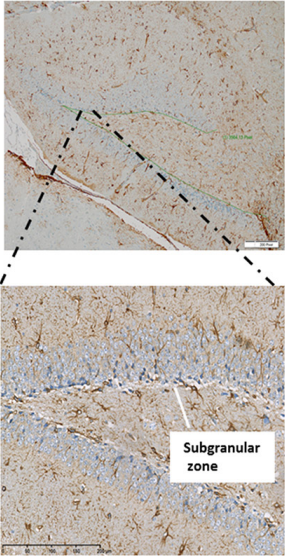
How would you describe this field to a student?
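This section shows part of the dentate gyrus, with a band of densely packed pale blue granule cell nuclei. Scattered brown-stained cells with small bodies and many fine, branching processes lie throughout the surrounding tissue and along the inner border of the band. The enlargement shows these branched cells at the edge of the cell layer.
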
